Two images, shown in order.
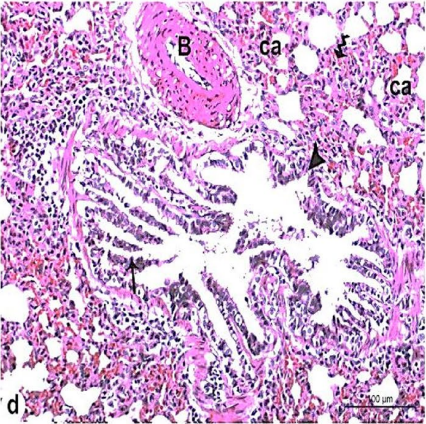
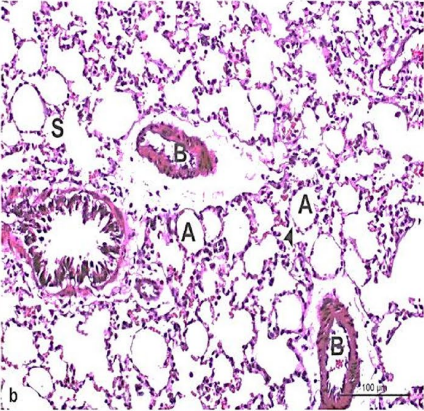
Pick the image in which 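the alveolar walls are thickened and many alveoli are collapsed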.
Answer: The first image.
